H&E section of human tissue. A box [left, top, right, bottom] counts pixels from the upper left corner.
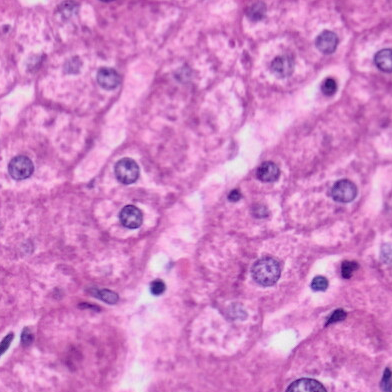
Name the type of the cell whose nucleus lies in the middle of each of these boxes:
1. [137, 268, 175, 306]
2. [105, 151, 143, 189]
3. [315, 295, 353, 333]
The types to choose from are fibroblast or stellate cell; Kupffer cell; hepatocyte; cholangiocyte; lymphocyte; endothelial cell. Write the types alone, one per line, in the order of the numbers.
lymphocyte
hepatocyte
fibroblast or stellate cell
